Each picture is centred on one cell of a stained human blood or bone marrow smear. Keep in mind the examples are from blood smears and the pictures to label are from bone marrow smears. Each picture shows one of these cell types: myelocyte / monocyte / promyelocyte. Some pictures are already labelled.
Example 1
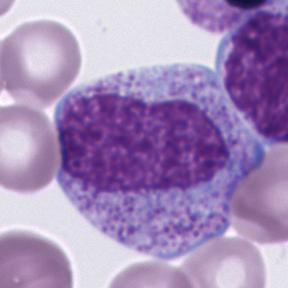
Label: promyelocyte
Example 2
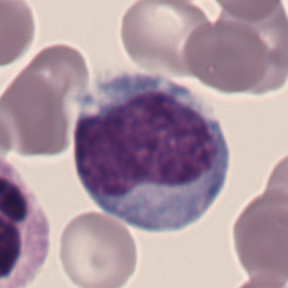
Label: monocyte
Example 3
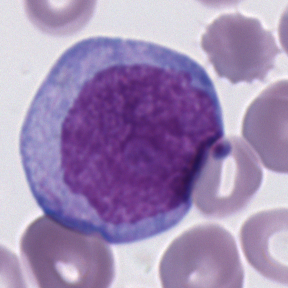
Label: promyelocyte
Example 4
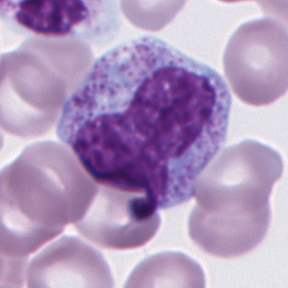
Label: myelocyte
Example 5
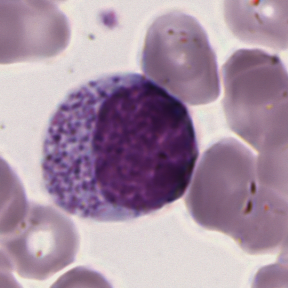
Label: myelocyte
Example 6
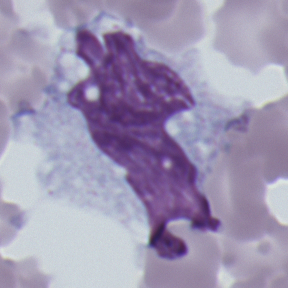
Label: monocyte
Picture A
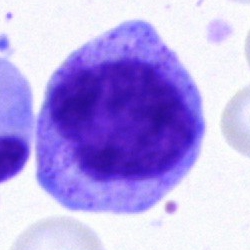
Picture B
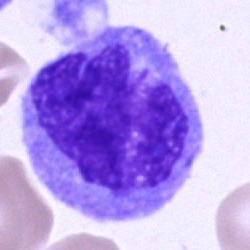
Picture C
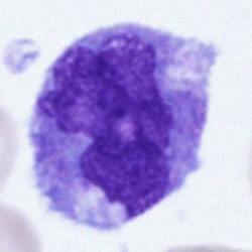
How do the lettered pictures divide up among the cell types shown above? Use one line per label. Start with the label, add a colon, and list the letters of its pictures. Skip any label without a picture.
monocyte: B, C
promyelocyte: A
